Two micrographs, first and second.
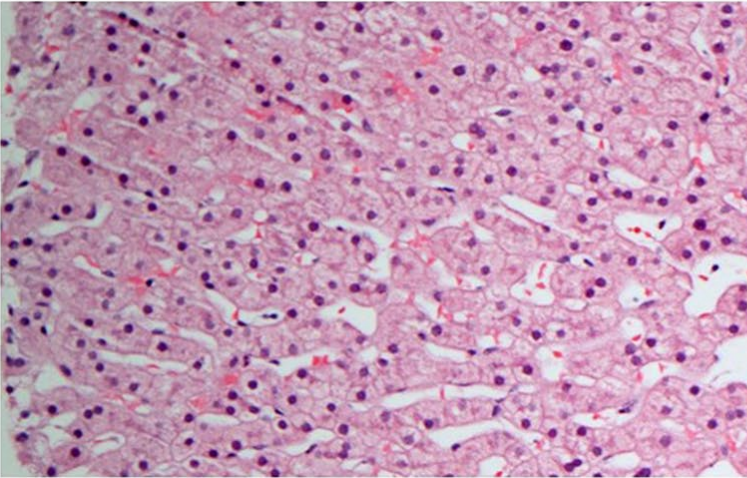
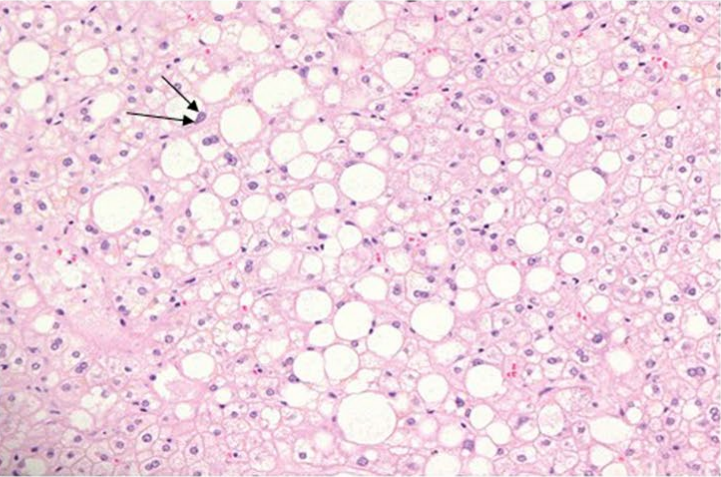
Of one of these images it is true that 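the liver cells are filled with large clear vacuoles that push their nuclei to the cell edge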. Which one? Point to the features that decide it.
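First image: cells have pink granular cytoplasm and central round nuclei, with no large vacuoles. That points to this answer: the second image.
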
